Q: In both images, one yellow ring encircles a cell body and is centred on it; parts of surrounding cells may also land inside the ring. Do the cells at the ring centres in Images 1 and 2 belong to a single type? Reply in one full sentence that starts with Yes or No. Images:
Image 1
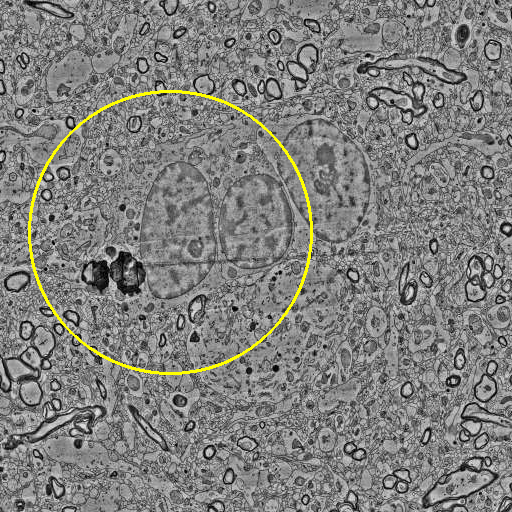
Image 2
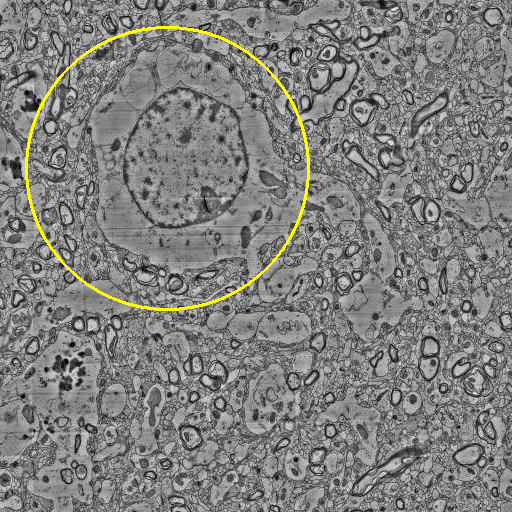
No, the cells at the ring centres in Images 1 and 2 are of two types.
